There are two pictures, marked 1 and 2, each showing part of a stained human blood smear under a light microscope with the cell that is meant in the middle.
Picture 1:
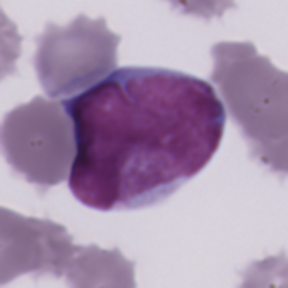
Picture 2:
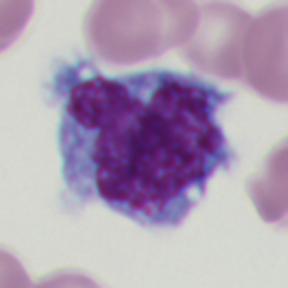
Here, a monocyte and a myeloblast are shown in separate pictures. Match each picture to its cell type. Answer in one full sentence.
The cell in picture 1 is a myeloblast, and the one in picture 2 is a monocyte.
